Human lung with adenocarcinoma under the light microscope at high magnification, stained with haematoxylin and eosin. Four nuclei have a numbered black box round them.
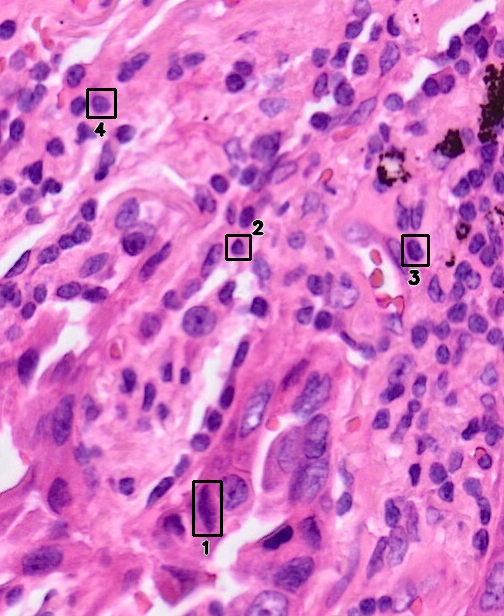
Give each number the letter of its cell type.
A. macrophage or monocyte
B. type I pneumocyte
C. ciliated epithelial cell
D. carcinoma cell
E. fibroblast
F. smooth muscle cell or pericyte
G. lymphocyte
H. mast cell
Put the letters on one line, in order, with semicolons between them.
D; G; G; G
